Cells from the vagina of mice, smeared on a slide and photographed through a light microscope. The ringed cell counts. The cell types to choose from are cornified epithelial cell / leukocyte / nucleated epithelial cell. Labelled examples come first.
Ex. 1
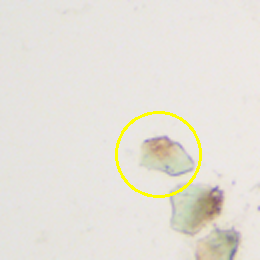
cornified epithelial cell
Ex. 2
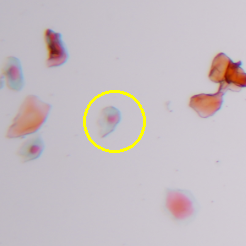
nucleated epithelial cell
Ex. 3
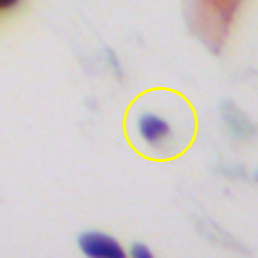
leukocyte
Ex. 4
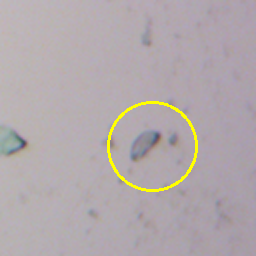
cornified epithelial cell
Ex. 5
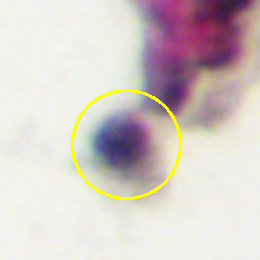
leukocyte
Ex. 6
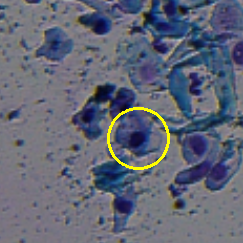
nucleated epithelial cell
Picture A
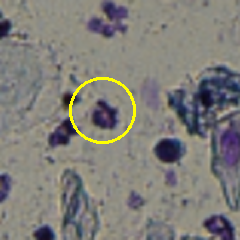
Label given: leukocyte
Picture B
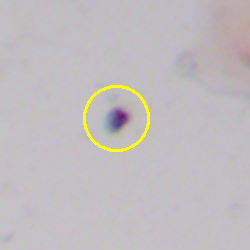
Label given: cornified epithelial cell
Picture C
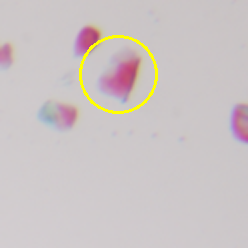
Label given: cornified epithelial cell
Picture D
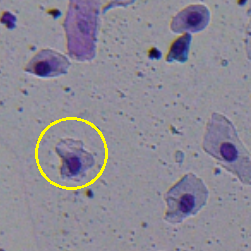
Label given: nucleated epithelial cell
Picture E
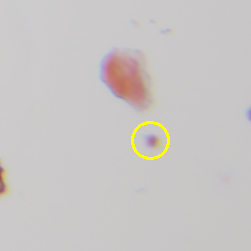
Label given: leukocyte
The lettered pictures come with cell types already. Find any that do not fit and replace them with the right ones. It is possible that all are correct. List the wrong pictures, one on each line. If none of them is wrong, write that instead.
B: leukocyte, not cornified epithelial cell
